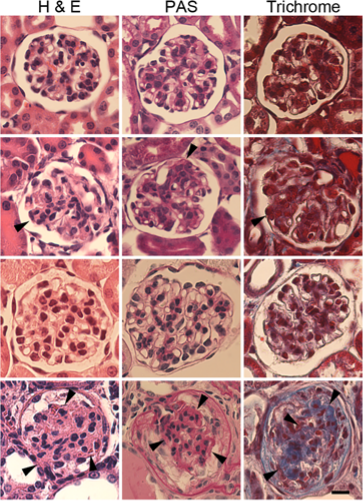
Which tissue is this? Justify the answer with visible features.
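Glomeruli. Each image shows a round capillary tuft inside a space lined by a thin capsule. Kidney tubules with cuboidal epithelium surround the round structures.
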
